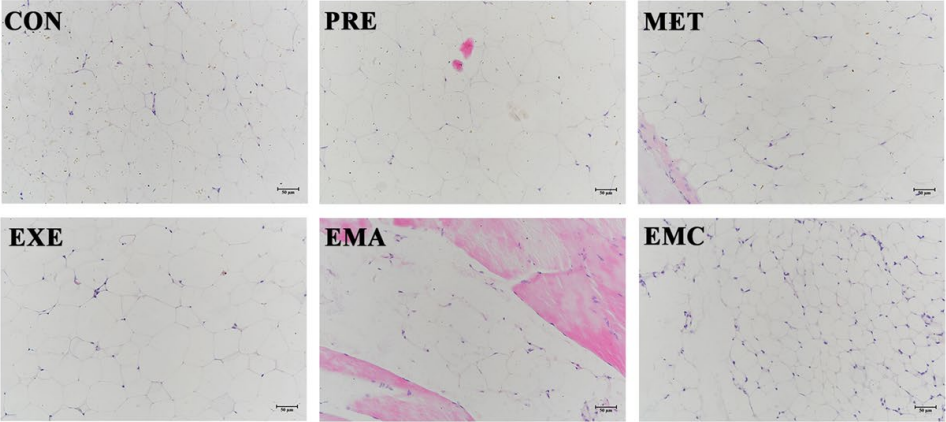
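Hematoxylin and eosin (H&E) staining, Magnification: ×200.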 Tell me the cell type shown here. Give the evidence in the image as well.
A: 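Large polygonal cells with empty-looking, unstained interiors. Thin pale septa separate the cells in a honeycomb pattern. Small flat dark nuclei sit at the cell edges. That points to this answer: adipocytes.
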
